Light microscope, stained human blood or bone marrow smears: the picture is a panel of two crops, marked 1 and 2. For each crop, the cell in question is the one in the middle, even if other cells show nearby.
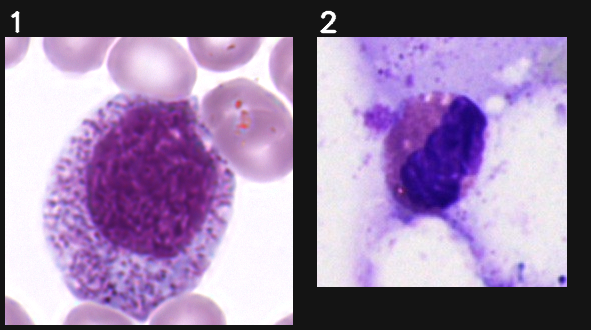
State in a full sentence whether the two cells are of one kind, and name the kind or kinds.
No, crop 1 is home to a promyelocyte, and crop 2 to an eosinophil.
